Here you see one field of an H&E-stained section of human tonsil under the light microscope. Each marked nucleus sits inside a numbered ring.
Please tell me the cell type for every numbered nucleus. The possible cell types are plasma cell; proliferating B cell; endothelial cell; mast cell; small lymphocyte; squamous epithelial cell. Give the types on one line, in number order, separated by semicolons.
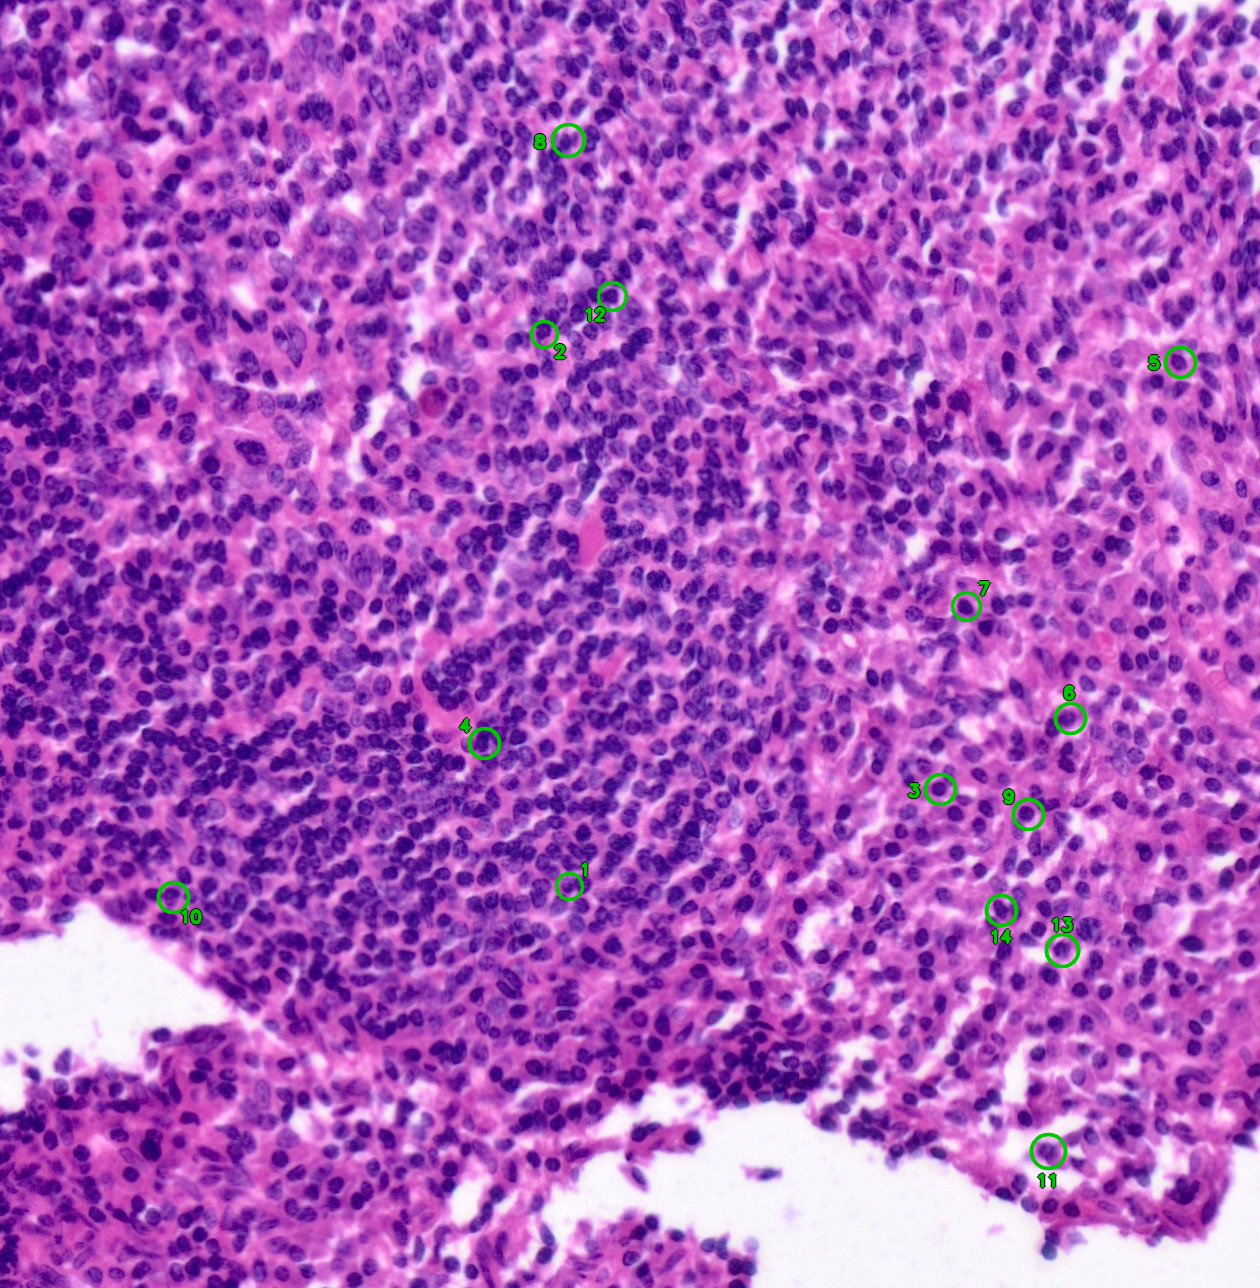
small lymphocyte; small lymphocyte; plasma cell; small lymphocyte; plasma cell; plasma cell; plasma cell; small lymphocyte; plasma cell; small lymphocyte; plasma cell; small lymphocyte; plasma cell; plasma cell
